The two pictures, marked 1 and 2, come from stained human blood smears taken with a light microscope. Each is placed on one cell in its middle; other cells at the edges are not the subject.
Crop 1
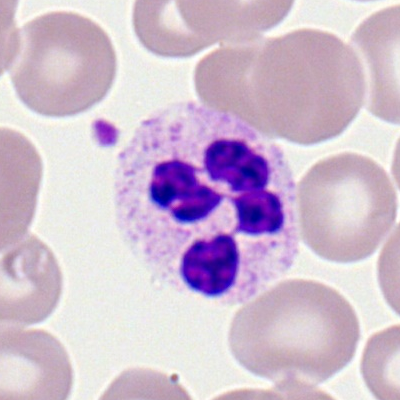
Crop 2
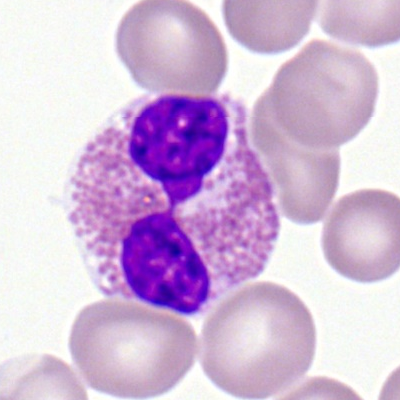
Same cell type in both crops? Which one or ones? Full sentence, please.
No, crop 1 represents a segmented neutrophil, and crop 2 represents an eosinophil.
